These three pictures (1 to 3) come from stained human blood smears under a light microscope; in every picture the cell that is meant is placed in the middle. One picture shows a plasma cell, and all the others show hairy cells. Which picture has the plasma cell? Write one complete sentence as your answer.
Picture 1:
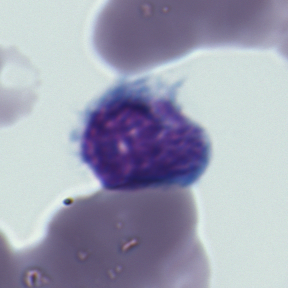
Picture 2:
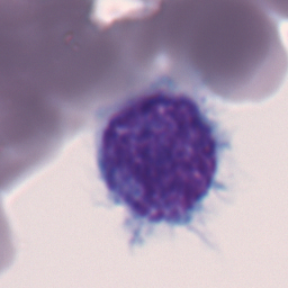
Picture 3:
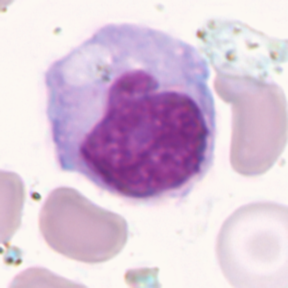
Picture 3 shows the plasma cell.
